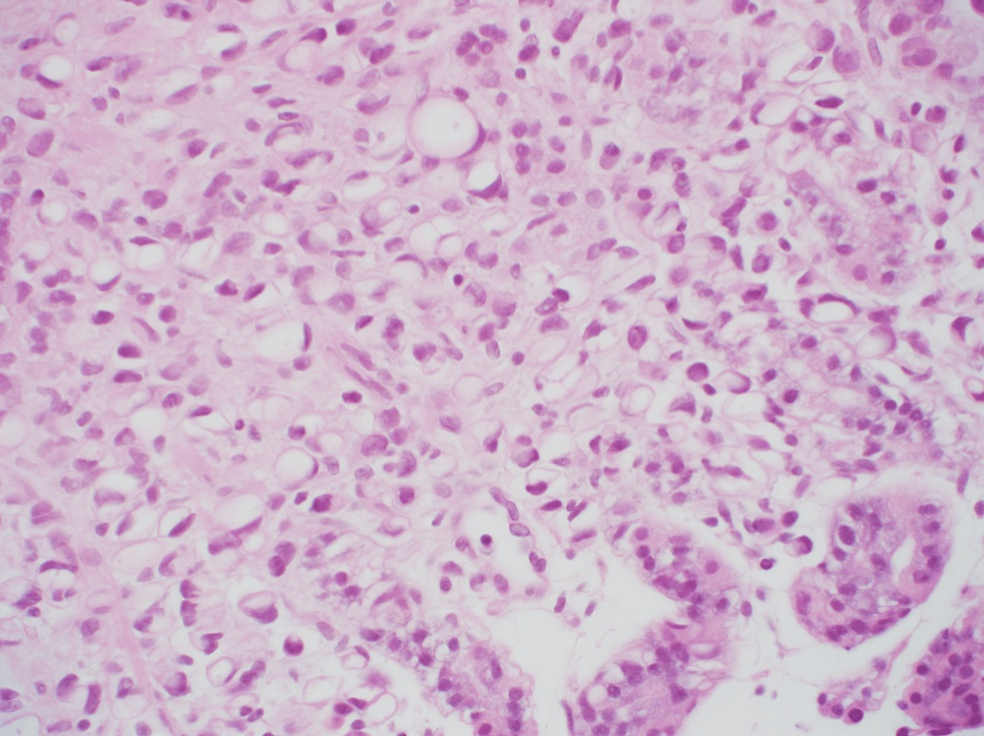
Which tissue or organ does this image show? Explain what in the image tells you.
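Mucosa. The glands are surrounded by infiltrating cells in the intervening stroma.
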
